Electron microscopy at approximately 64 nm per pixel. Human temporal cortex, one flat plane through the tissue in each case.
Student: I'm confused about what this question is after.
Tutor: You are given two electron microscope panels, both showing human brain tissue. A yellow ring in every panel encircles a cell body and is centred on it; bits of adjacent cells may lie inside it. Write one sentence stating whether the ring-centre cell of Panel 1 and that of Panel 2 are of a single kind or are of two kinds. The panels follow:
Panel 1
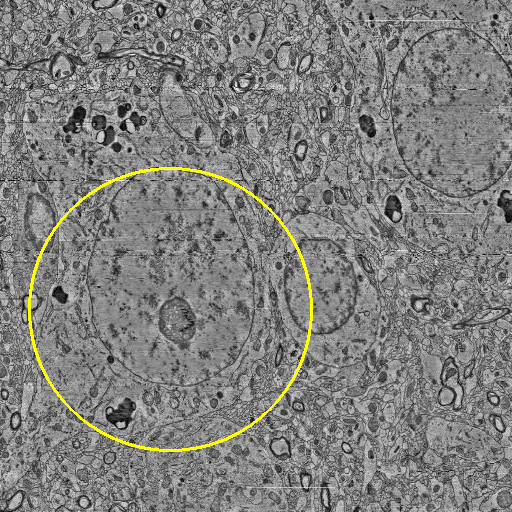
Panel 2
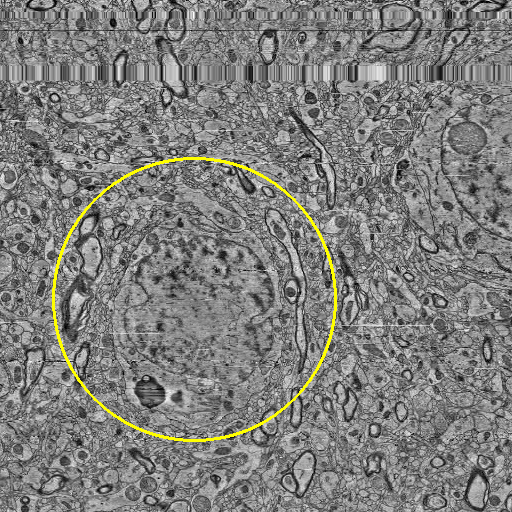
Here, the Panel 1 ring-centre cell and the Panel 2 ring-centre cell are of two kinds.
